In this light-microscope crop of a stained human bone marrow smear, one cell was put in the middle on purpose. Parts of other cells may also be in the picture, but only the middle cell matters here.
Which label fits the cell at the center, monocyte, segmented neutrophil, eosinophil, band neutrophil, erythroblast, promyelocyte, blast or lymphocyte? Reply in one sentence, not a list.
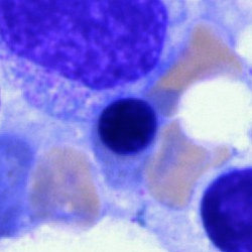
The central cell shown in this smear crop is an erythroblast.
